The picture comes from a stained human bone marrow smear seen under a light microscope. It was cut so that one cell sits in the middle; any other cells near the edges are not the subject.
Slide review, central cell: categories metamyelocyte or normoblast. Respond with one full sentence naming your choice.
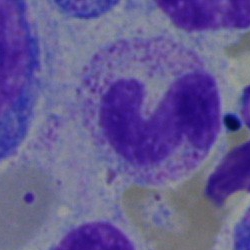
Centred in the crop is a metamyelocyte.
